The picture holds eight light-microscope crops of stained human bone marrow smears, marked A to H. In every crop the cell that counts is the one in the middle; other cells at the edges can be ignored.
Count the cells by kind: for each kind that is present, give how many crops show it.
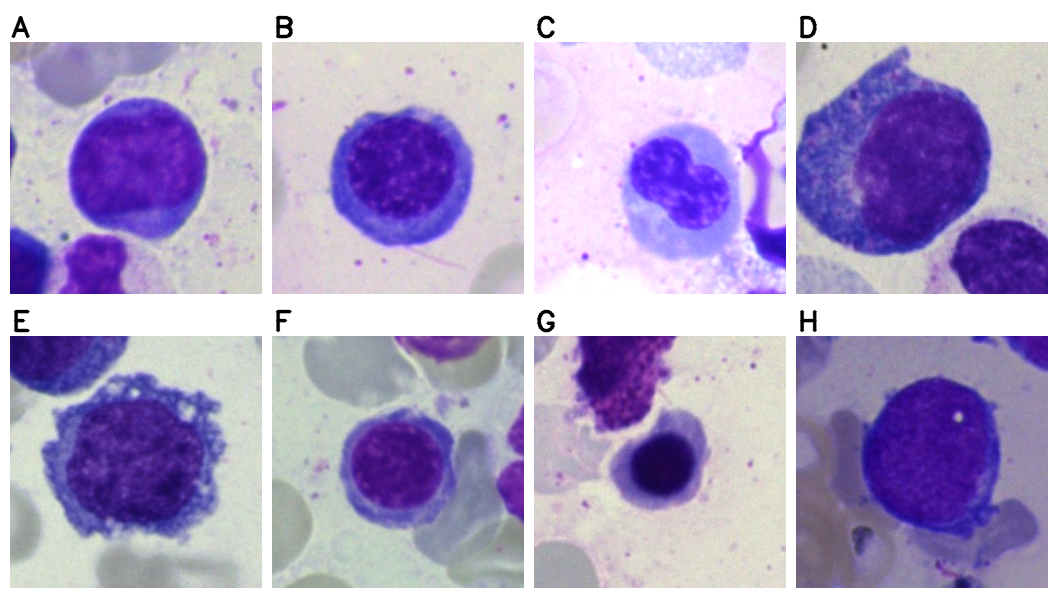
blast: 4
erythroblast: 4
